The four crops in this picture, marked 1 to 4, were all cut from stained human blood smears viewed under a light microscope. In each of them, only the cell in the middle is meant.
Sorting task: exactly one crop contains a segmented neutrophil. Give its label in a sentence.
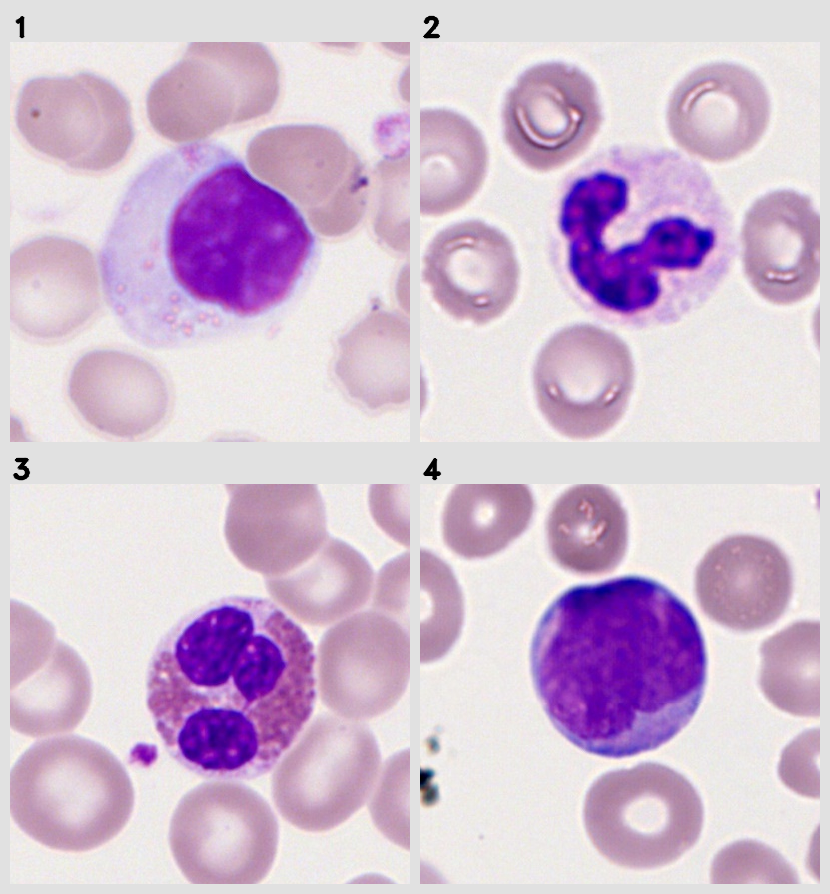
Among these crops, crop 2 holds a segmented neutrophil.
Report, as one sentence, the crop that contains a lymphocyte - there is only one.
Crop 1 is where a lymphocyte is shown.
